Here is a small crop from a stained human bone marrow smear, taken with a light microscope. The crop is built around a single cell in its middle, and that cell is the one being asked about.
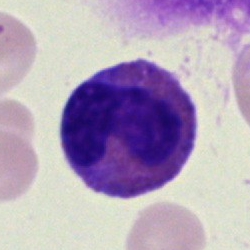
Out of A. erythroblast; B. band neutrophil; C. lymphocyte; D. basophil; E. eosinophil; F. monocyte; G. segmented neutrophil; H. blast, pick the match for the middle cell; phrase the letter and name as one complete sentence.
Option E correctly names the cell in the middle as an eosinophil.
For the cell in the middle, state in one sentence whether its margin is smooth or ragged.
No surface projections are present; the cell outline is smooth.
